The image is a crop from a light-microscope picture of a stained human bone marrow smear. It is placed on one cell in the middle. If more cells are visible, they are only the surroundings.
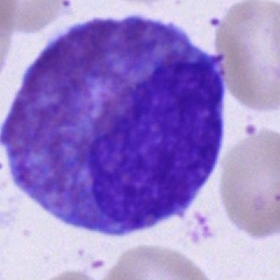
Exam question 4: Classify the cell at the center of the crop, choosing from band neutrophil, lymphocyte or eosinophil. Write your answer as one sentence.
In the crop, the cell of interest at the centre is an eosinophil.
